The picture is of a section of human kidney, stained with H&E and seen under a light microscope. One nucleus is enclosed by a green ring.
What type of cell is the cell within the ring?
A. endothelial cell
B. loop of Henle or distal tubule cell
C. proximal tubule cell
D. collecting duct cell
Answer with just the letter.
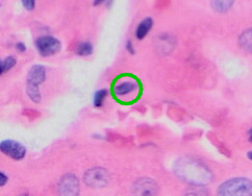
A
